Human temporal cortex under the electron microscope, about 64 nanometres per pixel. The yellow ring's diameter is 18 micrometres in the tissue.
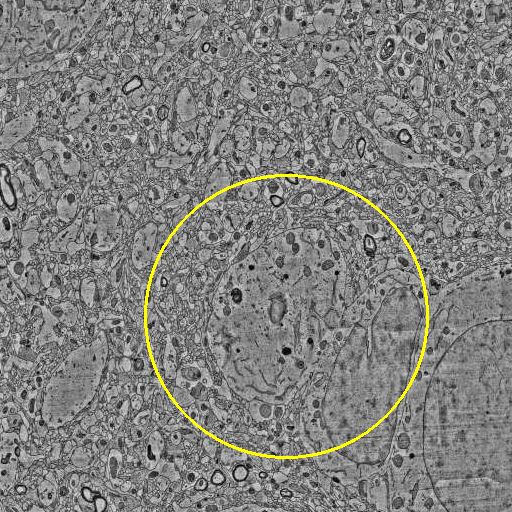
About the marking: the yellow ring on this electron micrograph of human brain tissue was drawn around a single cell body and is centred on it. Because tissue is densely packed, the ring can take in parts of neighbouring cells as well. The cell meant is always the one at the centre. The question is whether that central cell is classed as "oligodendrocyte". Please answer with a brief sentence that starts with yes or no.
No, the central cell belongs to another class.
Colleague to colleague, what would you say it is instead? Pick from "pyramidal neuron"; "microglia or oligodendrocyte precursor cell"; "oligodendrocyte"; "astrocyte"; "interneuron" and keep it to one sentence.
So the cell at the centre is a pyramidal neuron.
